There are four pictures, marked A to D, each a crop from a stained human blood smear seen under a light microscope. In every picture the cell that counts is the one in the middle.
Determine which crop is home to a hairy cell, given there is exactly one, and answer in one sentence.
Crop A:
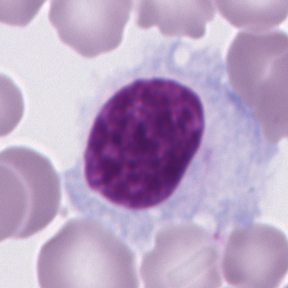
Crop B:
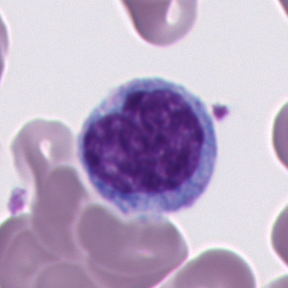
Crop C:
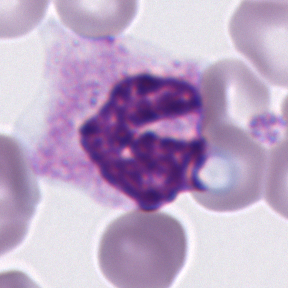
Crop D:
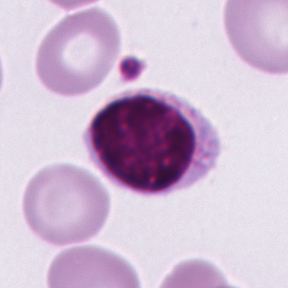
The crop marked A is the one that shows a hairy cell.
